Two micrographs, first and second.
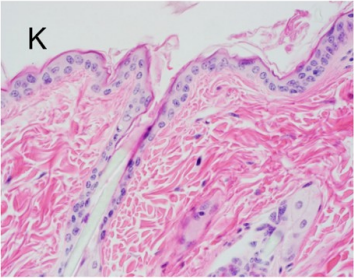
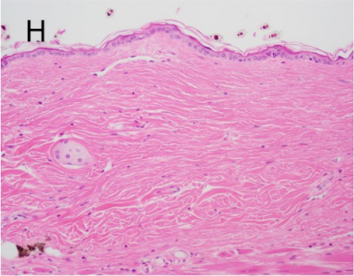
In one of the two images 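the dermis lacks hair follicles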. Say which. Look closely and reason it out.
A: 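First image: hair follicles run obliquely through the dermis. Second image: the dermis is made of parallel collagen fibres with no hair follicles. That points to this answer: the second image.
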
